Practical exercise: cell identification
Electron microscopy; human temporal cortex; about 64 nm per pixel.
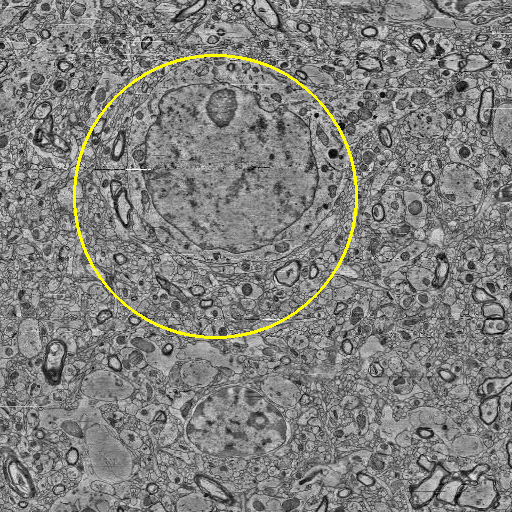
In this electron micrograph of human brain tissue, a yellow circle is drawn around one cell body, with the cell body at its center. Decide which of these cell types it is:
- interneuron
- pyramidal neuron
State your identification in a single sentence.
The ringed cell is a pyramidal neuron.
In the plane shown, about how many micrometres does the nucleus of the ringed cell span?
The nucleus is approximately 11 micrometers across in this plane.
